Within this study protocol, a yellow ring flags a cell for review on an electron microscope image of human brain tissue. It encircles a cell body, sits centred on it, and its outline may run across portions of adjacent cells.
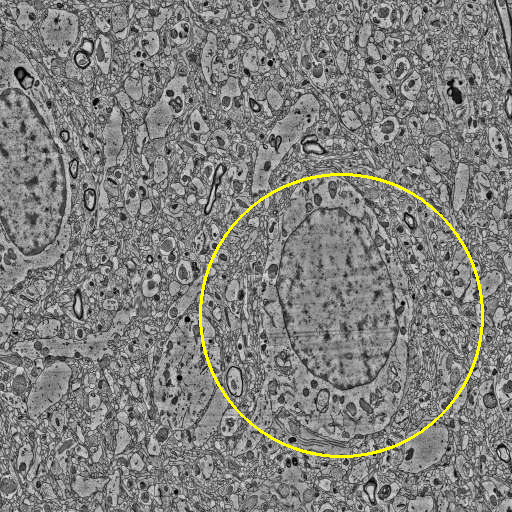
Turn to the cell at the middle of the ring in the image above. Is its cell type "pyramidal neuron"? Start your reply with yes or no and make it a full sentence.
Yes, the cell at the ring's centre in the image above has that cell type.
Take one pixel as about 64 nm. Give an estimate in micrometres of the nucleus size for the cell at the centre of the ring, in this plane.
At approximately 12 by 7 micrometres, the nucleus is clearly longer than it is wide in this plane.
